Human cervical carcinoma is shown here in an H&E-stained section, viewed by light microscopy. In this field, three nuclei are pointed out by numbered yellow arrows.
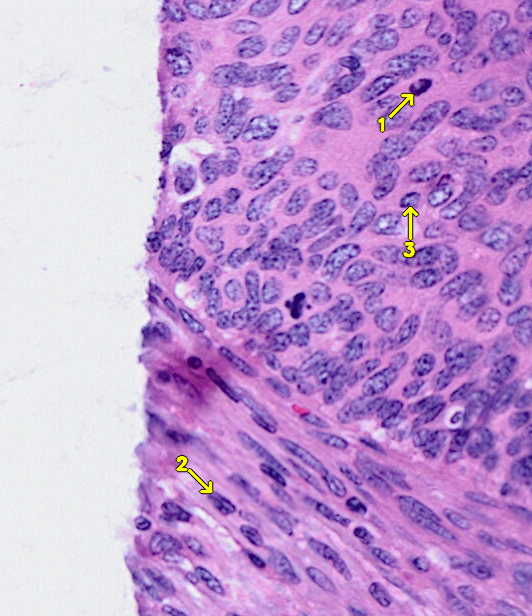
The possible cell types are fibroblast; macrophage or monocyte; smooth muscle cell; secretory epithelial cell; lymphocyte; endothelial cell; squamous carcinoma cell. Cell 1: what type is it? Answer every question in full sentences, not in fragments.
The correct answer for cell 1 is a squamous carcinoma cell.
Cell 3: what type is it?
The one numbered 3 among the marked cells is a squamous carcinoma cell.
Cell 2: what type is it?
The cell numbered 2 has been identified as a lymphocyte.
